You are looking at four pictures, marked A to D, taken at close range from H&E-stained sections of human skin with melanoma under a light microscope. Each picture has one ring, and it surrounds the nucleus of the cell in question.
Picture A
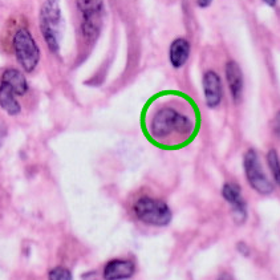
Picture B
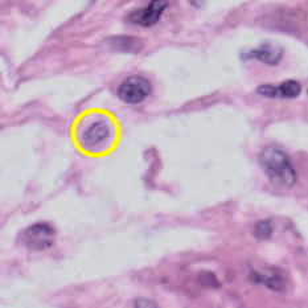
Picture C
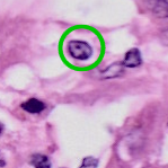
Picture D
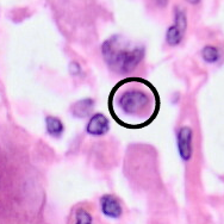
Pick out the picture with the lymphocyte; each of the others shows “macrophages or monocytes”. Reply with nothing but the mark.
C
